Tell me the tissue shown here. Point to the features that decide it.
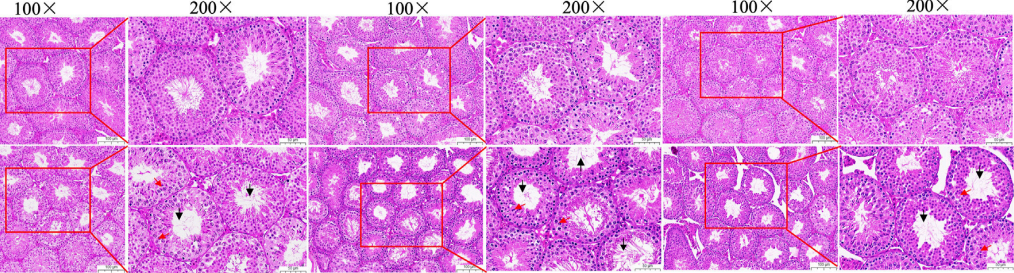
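Every image is packed with round tubular cross-sections, each lined by a thick, many-layered epithelium. The tubule lumens hold pale pink, wispy material. Small patches of tissue lie between the tubules. That points to this answer: testes.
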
